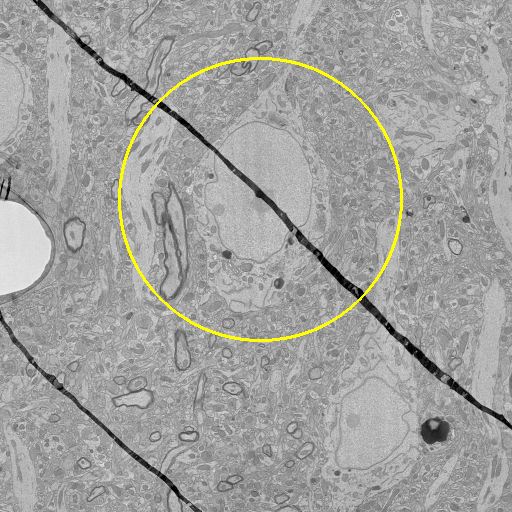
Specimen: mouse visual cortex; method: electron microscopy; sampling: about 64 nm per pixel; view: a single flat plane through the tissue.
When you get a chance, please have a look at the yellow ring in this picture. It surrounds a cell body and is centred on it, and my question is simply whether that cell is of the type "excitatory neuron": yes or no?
Yes, the cell is of that type.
